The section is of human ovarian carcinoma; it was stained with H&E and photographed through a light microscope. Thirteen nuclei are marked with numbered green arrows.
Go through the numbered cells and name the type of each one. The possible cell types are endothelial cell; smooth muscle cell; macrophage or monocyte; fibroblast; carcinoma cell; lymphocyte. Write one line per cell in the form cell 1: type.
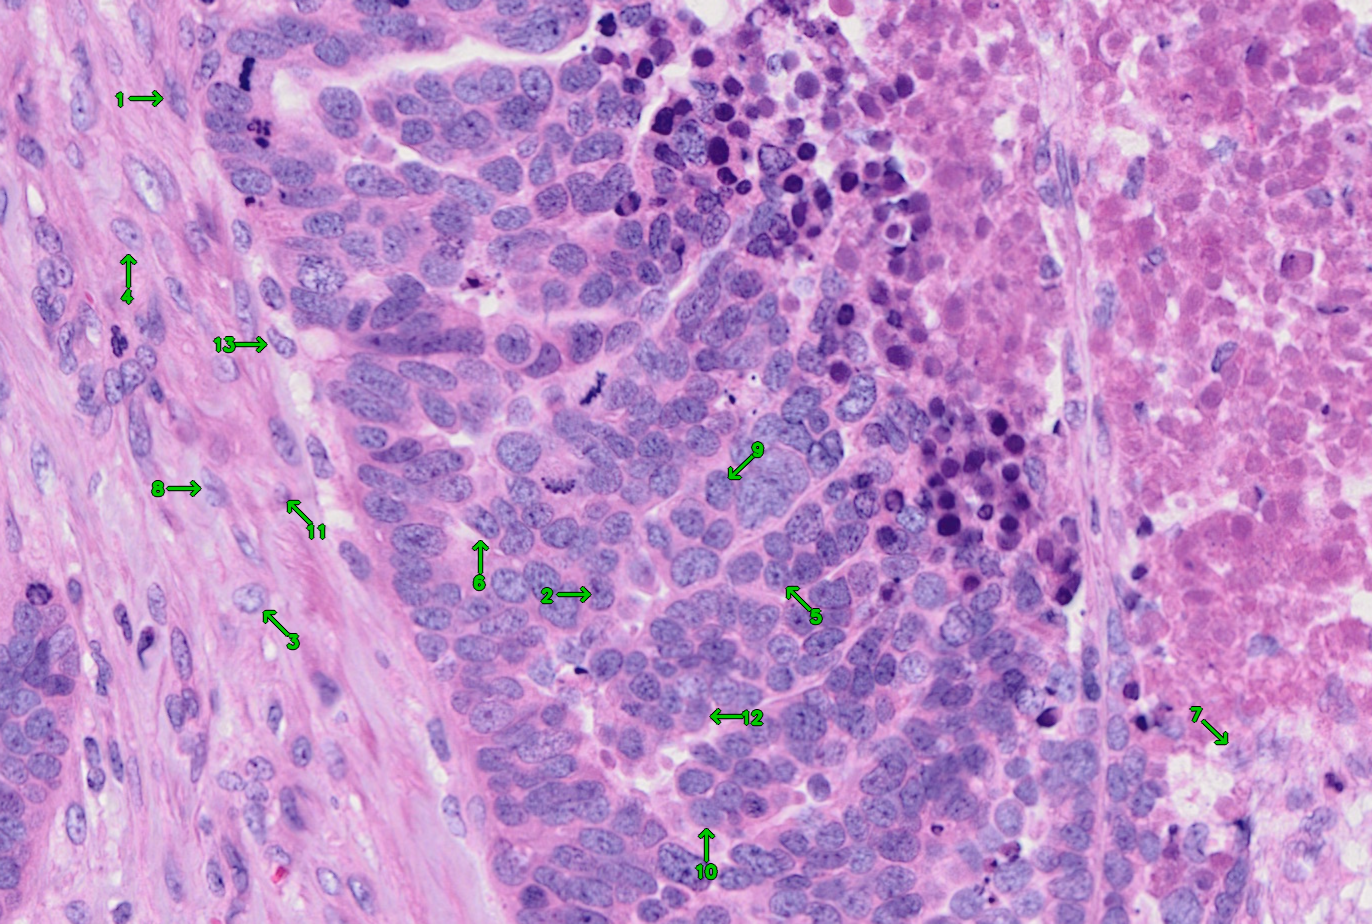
cell 1: fibroblast
cell 2: carcinoma cell
cell 3: fibroblast
cell 4: fibroblast
cell 5: carcinoma cell
cell 6: carcinoma cell
cell 7: fibroblast
cell 8: fibroblast
cell 9: carcinoma cell
cell 10: carcinoma cell
cell 11: fibroblast
cell 12: carcinoma cell
cell 13: macrophage or monocyte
